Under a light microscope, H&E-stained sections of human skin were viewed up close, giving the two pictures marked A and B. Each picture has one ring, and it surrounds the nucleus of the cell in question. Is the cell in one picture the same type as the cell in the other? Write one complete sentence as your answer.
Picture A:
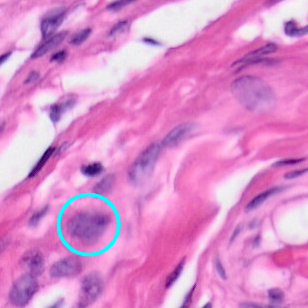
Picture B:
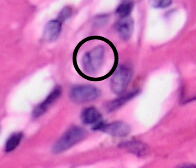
No, the types are not the same, since picture A shows a fibroblast and picture B an endothelial cell.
